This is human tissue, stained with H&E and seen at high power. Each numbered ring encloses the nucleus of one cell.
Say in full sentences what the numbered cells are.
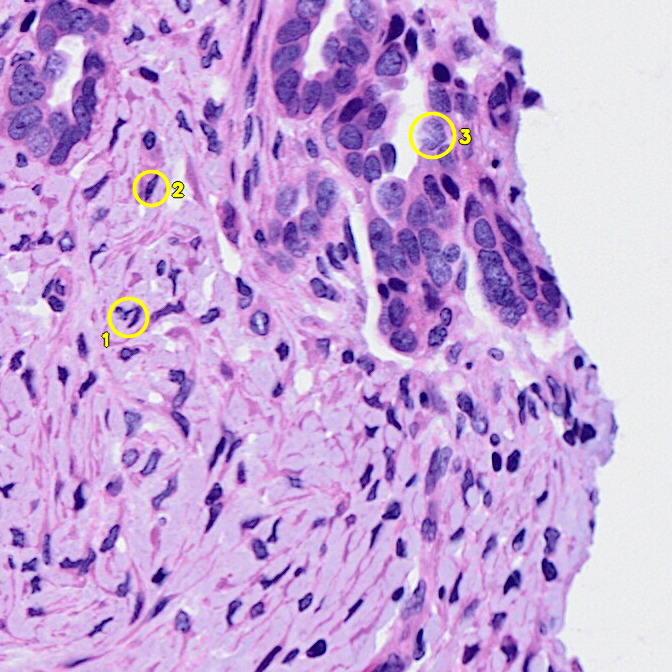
Cell 1 is a fibroblast, cell 2 is a fibroblast and cell 3 is a carcinoma cell.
